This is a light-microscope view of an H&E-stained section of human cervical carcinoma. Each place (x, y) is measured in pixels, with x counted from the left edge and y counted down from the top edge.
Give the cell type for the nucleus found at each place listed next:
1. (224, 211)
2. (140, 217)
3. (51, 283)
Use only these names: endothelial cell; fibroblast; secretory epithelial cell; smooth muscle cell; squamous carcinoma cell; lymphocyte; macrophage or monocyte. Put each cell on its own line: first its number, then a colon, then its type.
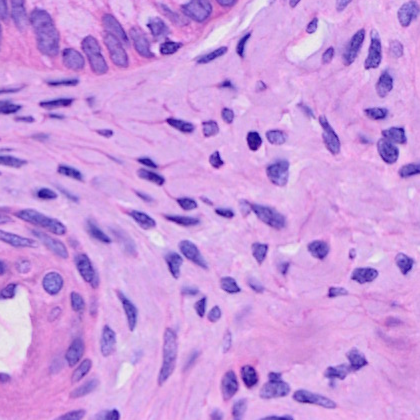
1: fibroblast
2: fibroblast
3: smooth muscle cell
